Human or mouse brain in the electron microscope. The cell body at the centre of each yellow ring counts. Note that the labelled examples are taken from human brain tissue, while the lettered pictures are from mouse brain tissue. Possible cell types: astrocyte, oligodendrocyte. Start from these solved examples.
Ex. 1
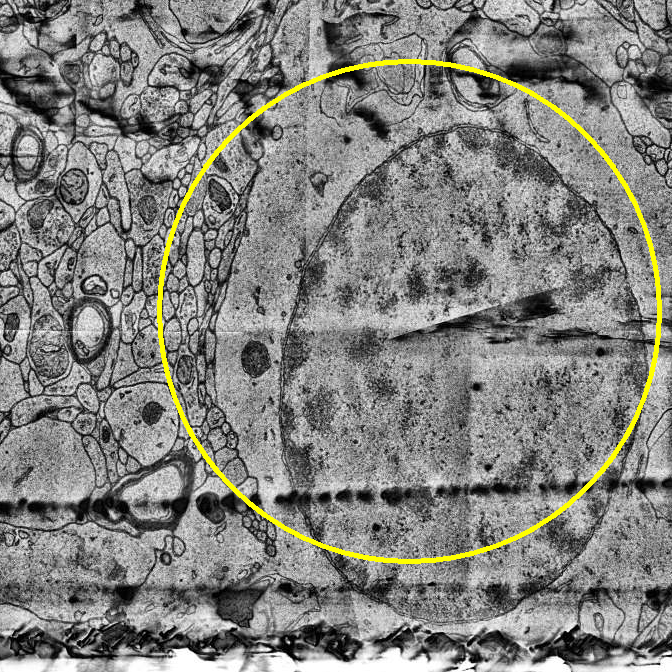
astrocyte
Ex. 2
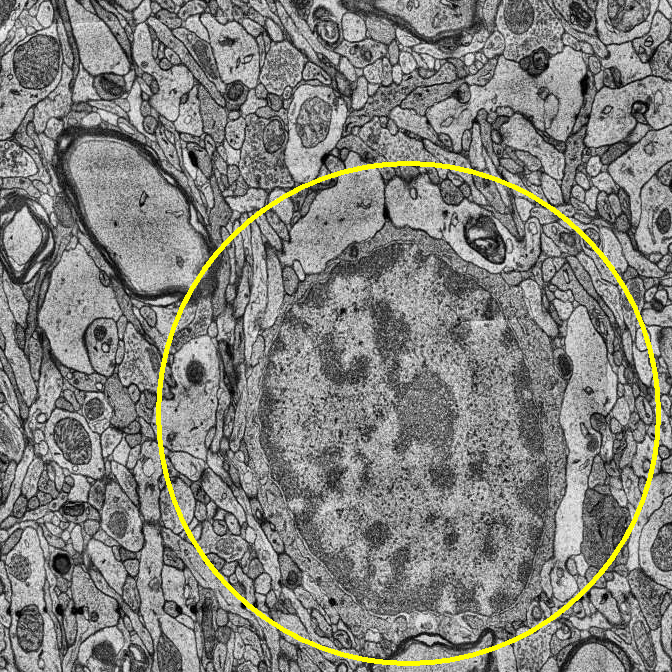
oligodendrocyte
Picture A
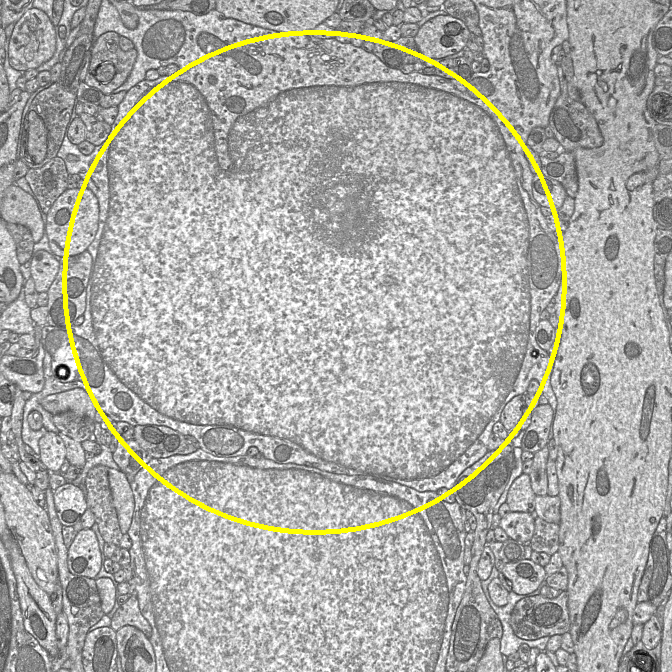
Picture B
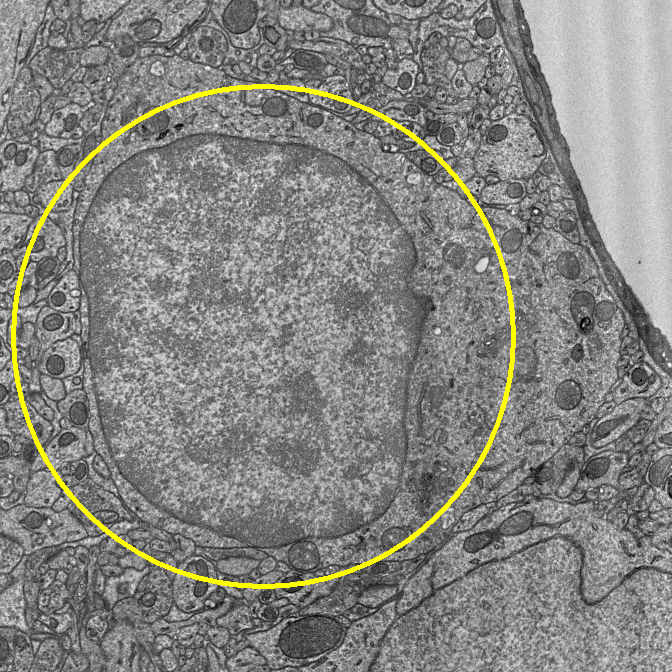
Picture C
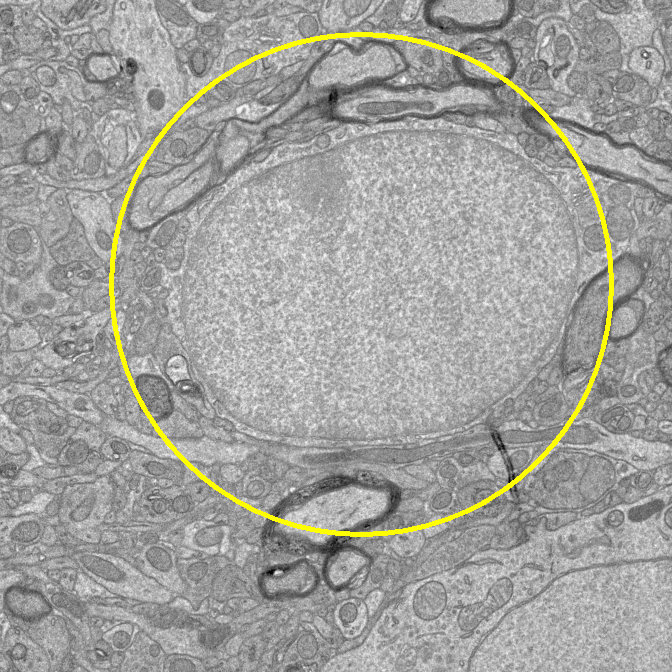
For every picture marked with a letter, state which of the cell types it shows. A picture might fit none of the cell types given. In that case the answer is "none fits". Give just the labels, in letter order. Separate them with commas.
astrocyte, oligodendrocyte, astrocyte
